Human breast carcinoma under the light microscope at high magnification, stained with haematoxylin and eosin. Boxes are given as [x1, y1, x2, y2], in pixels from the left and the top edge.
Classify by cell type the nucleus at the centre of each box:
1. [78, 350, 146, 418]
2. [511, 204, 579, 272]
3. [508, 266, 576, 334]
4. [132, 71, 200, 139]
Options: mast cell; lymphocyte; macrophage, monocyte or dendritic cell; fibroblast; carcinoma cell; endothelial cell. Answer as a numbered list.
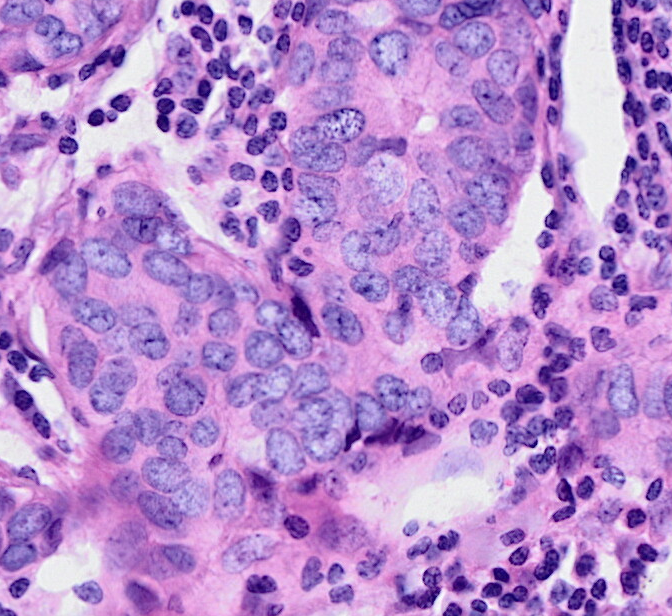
1. carcinoma cell
2. lymphocyte
3. lymphocyte
4. lymphocyte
